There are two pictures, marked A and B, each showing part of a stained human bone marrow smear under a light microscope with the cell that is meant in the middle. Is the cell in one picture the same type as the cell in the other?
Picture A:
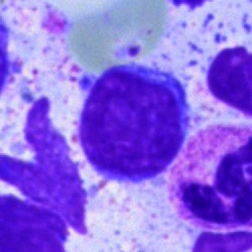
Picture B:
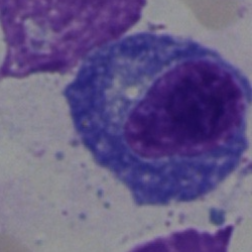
no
